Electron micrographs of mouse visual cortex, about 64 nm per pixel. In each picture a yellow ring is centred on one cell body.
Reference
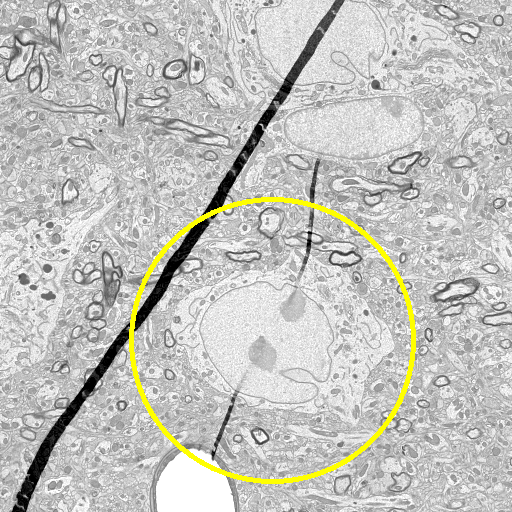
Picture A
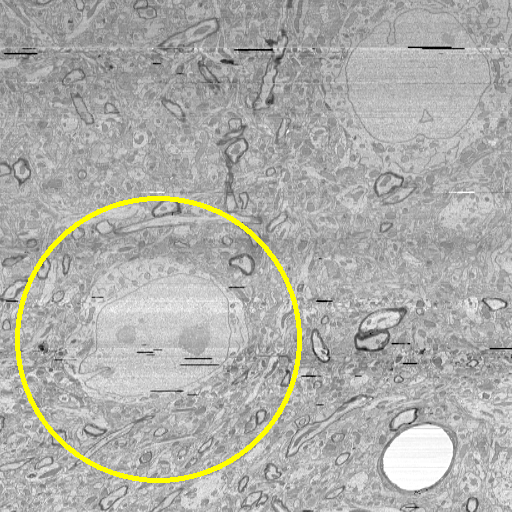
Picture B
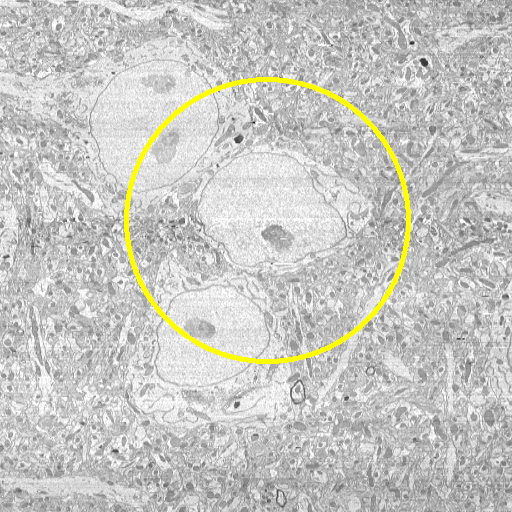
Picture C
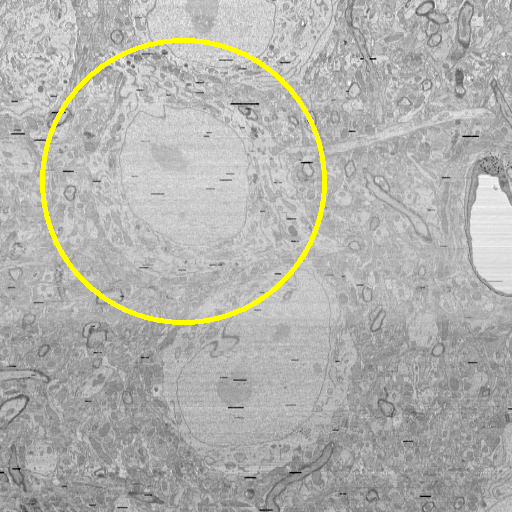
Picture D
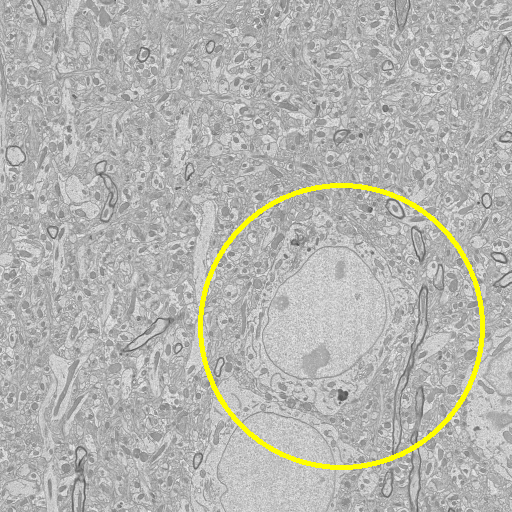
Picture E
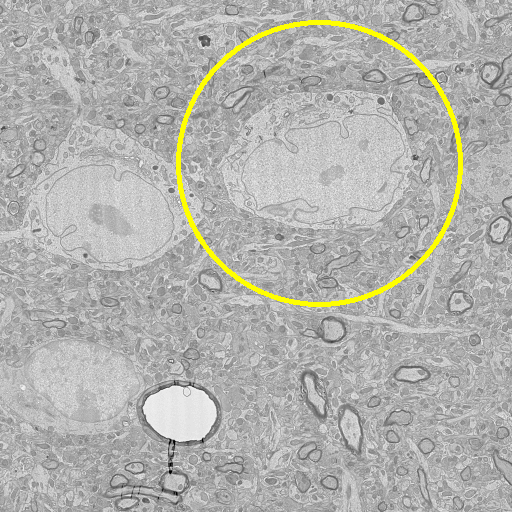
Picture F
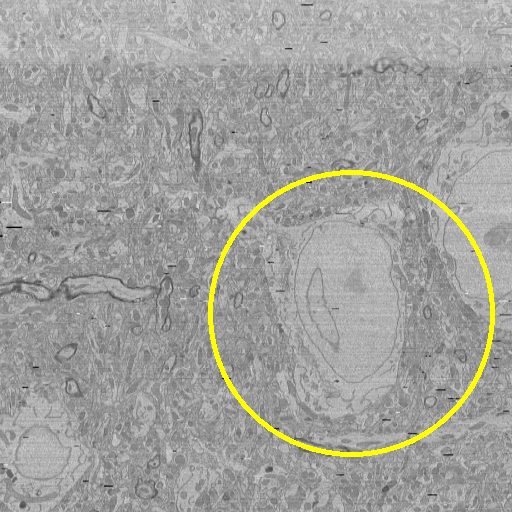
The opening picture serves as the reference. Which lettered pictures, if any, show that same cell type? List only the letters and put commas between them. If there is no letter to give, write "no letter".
A, D, F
